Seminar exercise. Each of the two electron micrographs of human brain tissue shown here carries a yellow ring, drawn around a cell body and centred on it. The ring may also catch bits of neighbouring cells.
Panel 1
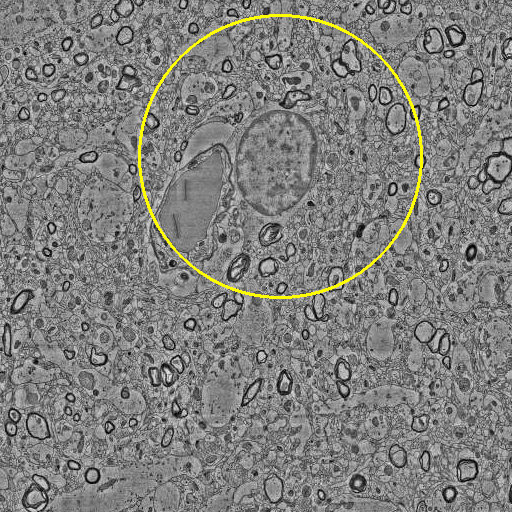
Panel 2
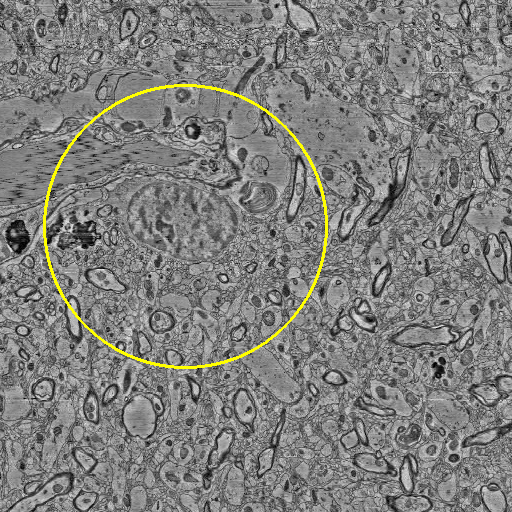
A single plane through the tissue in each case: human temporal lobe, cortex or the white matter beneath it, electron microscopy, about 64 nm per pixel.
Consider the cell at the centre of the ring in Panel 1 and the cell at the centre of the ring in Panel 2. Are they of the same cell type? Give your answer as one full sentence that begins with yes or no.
Yes, both cells are of the same type.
